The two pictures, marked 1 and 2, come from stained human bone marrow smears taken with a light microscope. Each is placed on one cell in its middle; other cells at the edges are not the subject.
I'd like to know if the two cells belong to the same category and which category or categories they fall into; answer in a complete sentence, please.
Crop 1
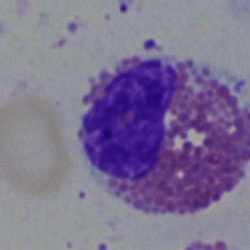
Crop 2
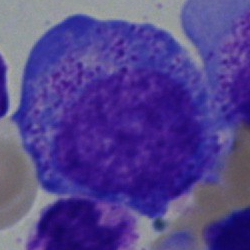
No, crop 1 is home to an eosinophil, and crop 2 to a promyelocyte.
